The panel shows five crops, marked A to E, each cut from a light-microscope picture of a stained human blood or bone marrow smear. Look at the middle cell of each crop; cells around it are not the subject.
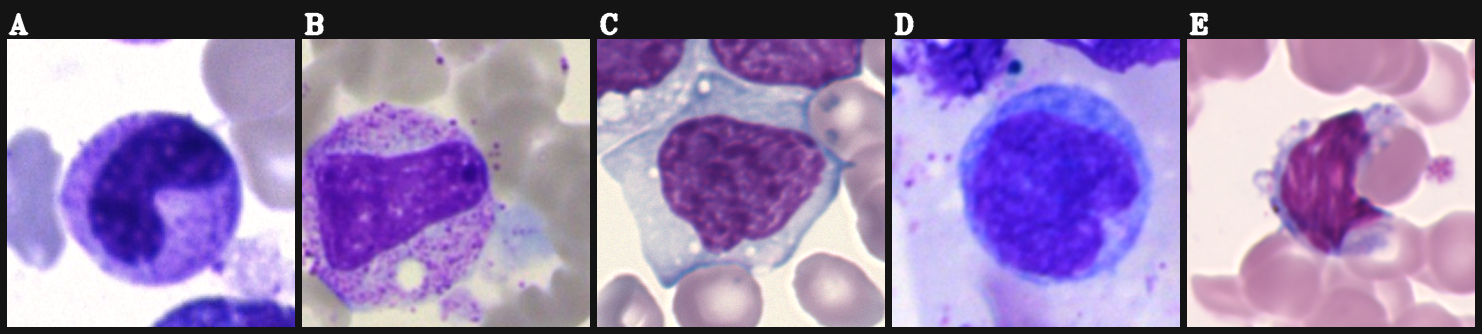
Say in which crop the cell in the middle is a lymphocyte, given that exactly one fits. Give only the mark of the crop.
E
